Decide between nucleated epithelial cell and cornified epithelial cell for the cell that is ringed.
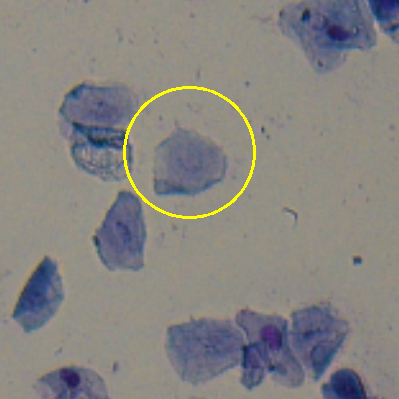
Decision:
I take the ringed cell for a cornified epithelial cell.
